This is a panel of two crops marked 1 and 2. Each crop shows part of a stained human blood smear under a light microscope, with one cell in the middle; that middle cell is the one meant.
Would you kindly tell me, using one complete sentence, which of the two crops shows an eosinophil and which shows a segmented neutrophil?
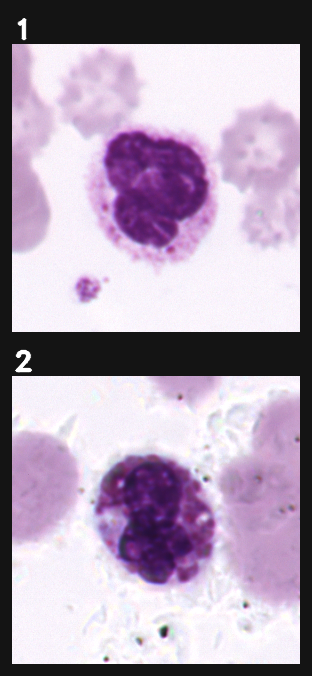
Found in crop 1 is a segmented neutrophil; found in crop 2 is an eosinophil.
